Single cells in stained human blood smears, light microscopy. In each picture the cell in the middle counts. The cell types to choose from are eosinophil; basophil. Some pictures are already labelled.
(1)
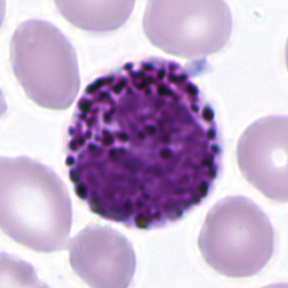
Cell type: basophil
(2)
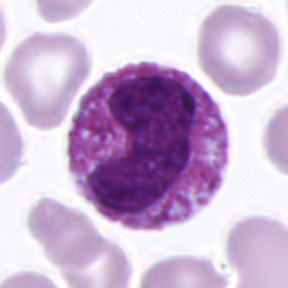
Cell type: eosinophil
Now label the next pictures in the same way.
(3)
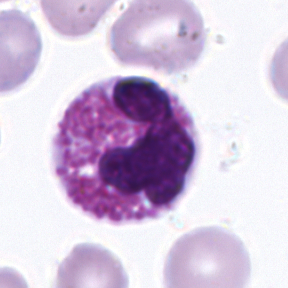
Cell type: eosinophil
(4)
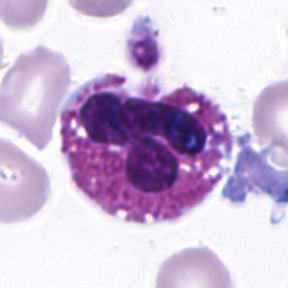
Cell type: eosinophil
